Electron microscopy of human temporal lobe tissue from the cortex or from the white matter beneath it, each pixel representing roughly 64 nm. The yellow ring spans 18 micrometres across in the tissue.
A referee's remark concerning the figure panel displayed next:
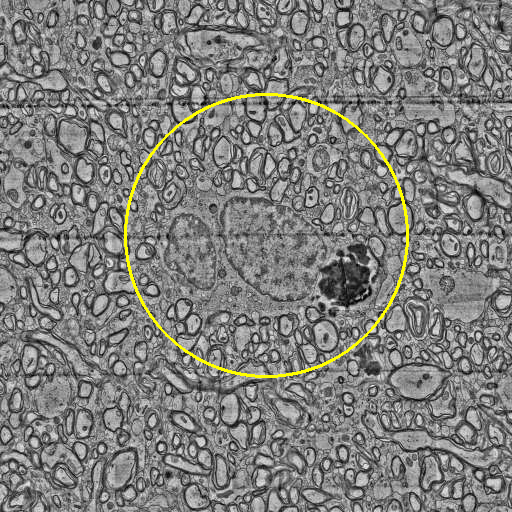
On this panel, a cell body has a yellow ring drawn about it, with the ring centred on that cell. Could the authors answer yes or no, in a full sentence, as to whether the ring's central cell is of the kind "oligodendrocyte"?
Yes, the cell sitting at the middle of the ring on this panel belongs to that kind.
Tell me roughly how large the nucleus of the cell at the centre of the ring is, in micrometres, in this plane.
The ringed cell's nucleus measures approximately 8 by 5 micrometres in this plane.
